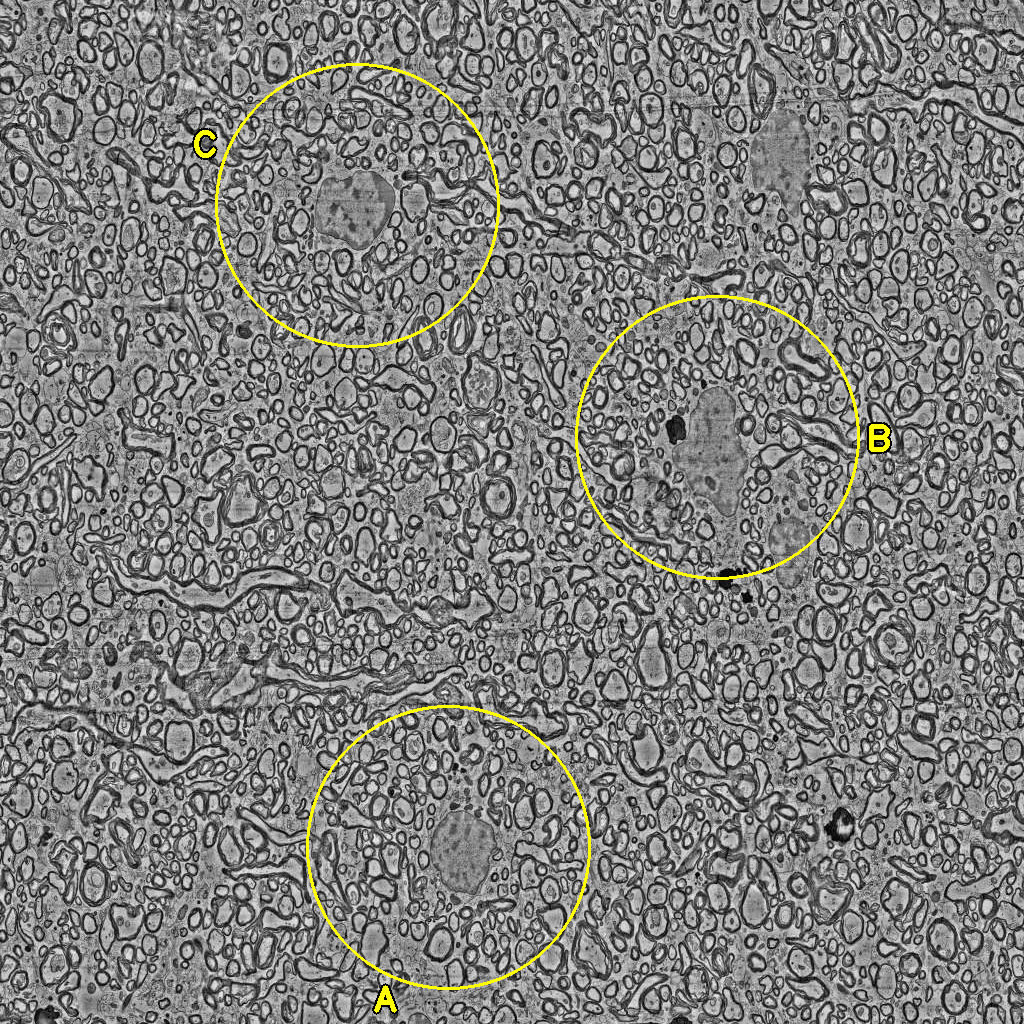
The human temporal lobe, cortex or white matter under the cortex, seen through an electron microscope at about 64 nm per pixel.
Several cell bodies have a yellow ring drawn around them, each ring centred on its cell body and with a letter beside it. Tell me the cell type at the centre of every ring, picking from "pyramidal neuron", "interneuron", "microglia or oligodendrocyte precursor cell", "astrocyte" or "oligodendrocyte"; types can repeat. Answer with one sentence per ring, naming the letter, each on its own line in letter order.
In ring A, the central cell is an oligodendrocyte.
In ring B, the central cell is an oligodendrocyte.
In ring C, the central cell is a microglial cell or oligodendrocyte precursor cell.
